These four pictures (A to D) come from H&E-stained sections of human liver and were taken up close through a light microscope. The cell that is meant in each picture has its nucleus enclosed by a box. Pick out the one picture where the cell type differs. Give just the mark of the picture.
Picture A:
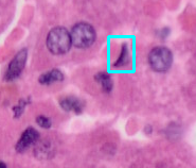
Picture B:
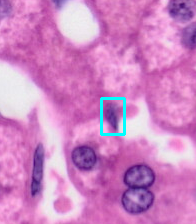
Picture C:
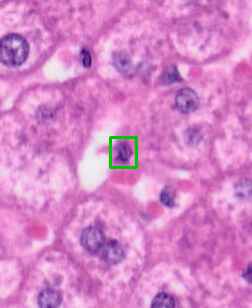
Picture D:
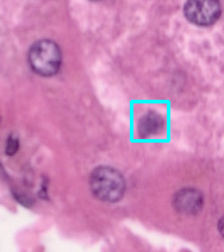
C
